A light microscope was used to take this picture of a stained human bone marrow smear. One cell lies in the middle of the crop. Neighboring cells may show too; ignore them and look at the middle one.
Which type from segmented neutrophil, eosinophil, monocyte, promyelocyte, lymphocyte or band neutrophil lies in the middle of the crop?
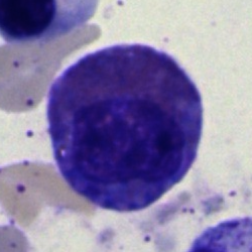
eosinophil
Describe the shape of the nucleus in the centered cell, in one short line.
Its nucleus is compact and single, with a round, oval or kidney-shaped form.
